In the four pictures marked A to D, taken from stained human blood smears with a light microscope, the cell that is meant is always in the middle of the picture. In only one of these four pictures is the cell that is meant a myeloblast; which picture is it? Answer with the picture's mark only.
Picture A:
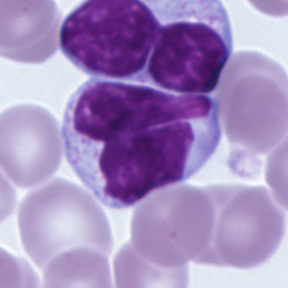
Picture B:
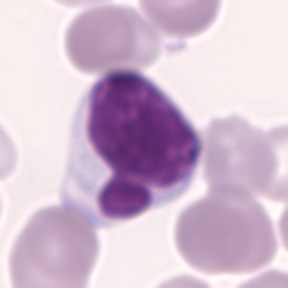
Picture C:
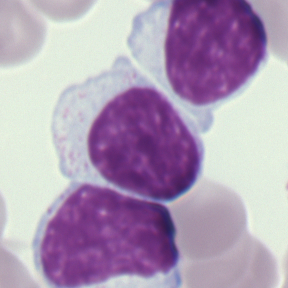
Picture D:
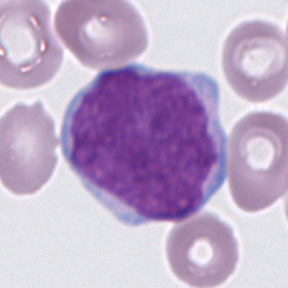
D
